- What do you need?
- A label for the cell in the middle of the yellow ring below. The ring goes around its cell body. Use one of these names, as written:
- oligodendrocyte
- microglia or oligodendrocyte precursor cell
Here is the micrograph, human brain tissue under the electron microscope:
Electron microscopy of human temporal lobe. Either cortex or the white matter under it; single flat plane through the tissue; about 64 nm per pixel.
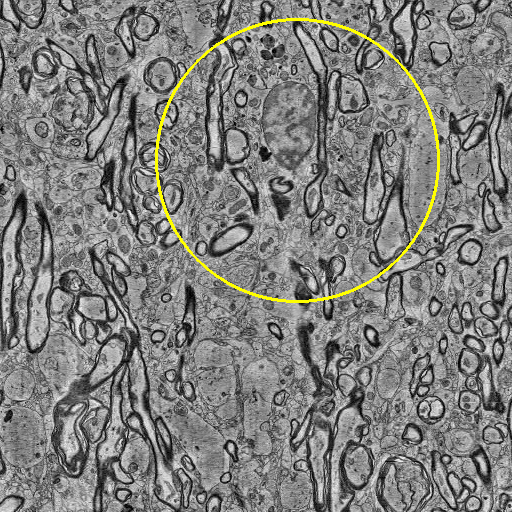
microglia or oligodendrocyte precursor cell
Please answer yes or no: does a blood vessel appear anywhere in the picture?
No, the image shows no blood vessel.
